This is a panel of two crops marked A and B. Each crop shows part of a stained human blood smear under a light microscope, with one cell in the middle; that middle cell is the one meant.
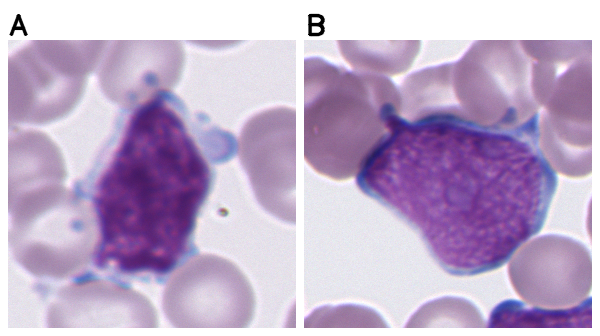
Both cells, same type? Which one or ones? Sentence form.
No, shown in crop A is a typical lymphocyte, and shown in crop B is a myeloblast.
